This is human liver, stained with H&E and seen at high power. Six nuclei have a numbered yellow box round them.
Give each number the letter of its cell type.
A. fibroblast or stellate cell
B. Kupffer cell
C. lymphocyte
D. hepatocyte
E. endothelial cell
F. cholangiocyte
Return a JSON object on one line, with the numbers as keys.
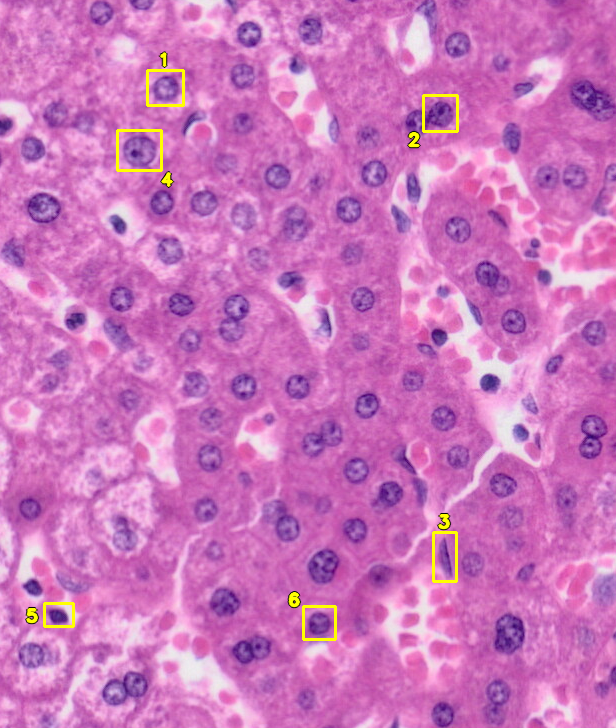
{"1": "D", "2": "D", "3": "A", "4": "D", "5": "C", "6": "D"}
